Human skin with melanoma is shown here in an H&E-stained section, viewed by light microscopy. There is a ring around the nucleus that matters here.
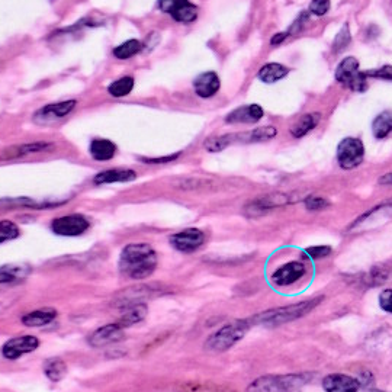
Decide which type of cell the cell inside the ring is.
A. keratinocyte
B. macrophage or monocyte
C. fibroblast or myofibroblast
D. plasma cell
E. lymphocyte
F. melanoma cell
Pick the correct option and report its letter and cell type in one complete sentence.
Among the choices, option D is correct, the cell inside the ring being a plasma cell.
